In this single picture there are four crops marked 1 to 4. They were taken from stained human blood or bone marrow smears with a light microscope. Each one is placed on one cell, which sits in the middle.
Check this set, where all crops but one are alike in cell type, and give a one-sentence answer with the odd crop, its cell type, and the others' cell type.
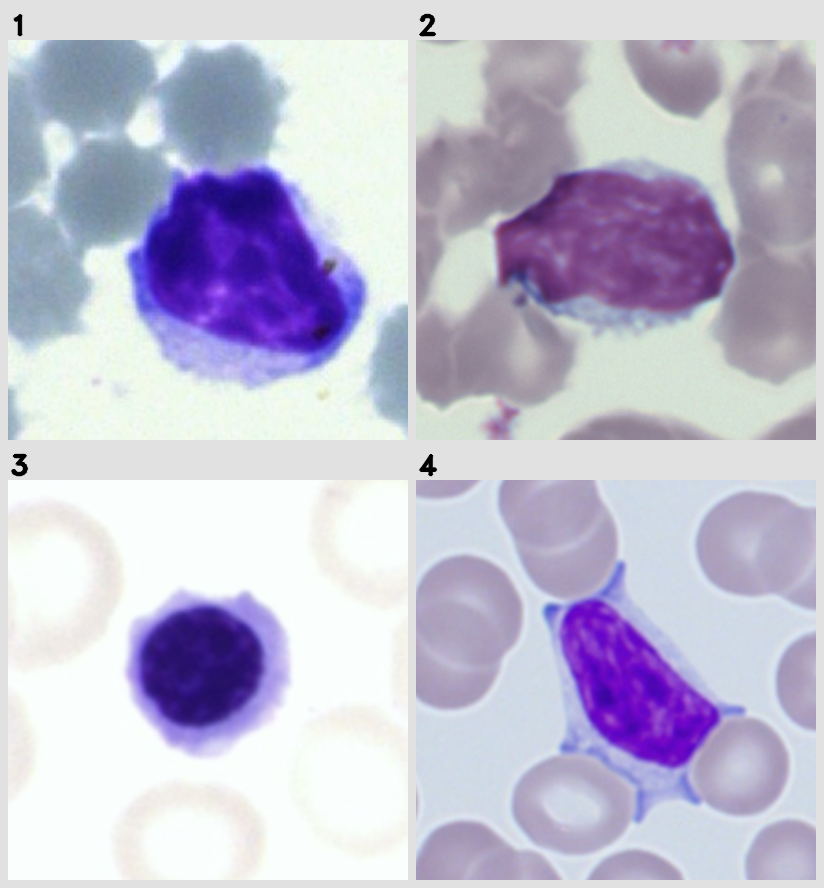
The set is made up of lymphocytes, with the single exception of crop 3, which is an erythroblast.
